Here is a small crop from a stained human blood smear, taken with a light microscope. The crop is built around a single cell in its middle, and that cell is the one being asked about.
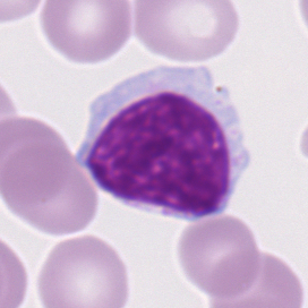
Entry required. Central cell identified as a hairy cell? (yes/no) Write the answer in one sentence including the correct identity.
No, the cell located centrally is a large granular lymphocyte rather than a hairy cell.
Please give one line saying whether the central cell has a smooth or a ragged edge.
Irregular rather than smooth, the cell margin shows ragged areas or projections.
